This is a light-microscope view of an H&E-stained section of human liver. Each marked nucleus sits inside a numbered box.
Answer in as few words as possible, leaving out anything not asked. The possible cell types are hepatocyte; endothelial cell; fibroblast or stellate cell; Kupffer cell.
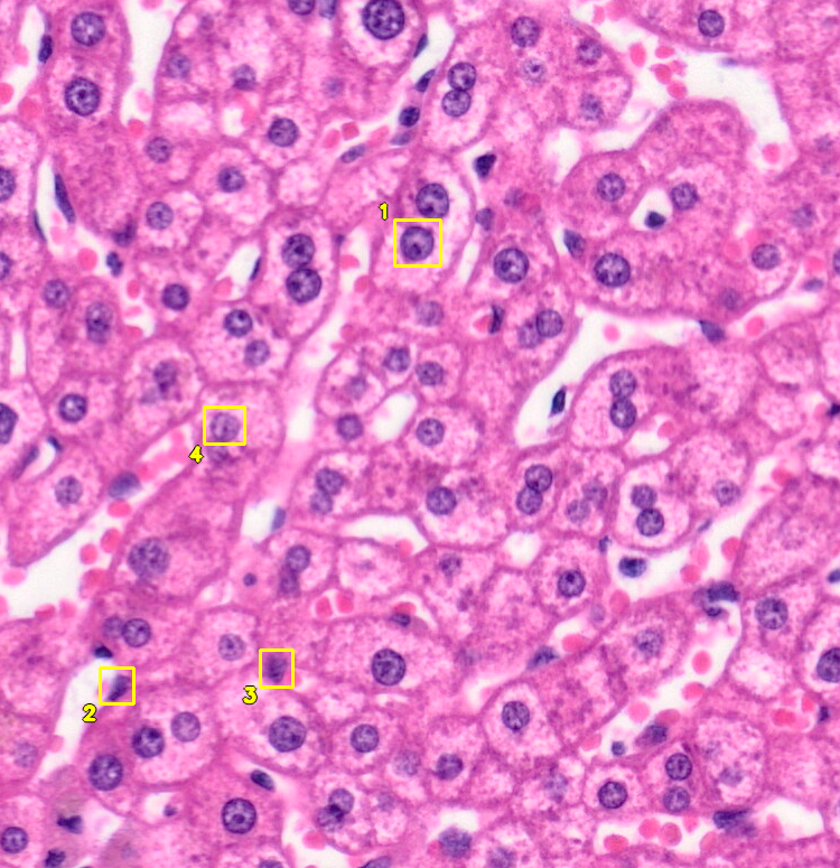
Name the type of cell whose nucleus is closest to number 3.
hepatocyte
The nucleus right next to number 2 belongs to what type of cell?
fibroblast or stellate cell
